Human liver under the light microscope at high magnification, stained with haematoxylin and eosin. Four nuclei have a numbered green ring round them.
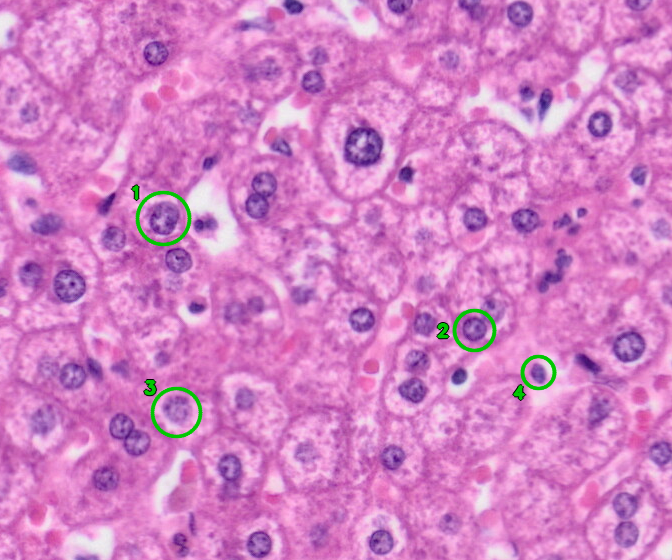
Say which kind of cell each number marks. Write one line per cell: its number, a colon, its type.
1: hepatocyte
2: hepatocyte
3: hepatocyte
4: lymphocyte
